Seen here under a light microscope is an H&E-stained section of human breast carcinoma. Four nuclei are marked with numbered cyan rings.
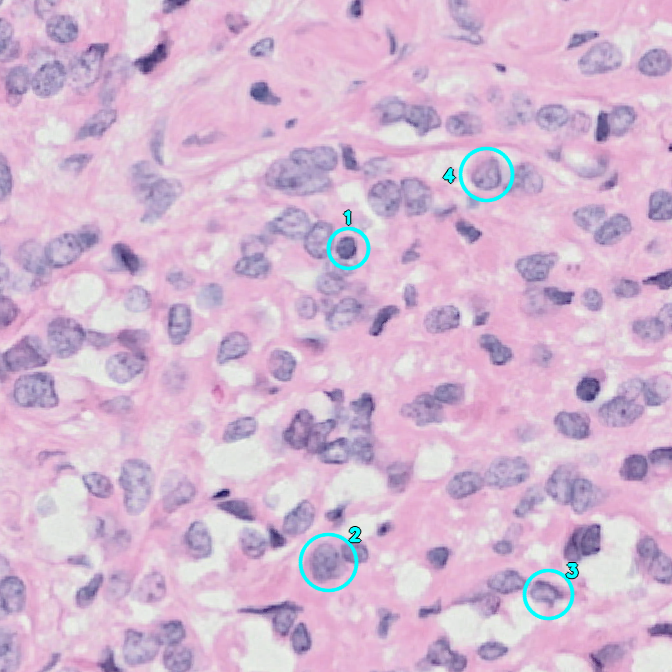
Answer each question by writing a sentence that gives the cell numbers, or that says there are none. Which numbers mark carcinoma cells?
The cells numbered 2, 3 and 4 are typed as carcinoma cells.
